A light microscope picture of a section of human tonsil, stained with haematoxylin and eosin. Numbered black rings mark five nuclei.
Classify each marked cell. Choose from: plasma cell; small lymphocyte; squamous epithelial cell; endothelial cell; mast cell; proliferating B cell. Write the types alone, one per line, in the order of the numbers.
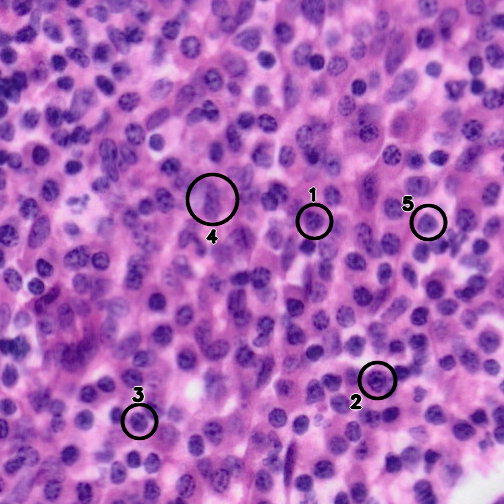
plasma cell
plasma cell
plasma cell
squamous epithelial cell
mast cell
